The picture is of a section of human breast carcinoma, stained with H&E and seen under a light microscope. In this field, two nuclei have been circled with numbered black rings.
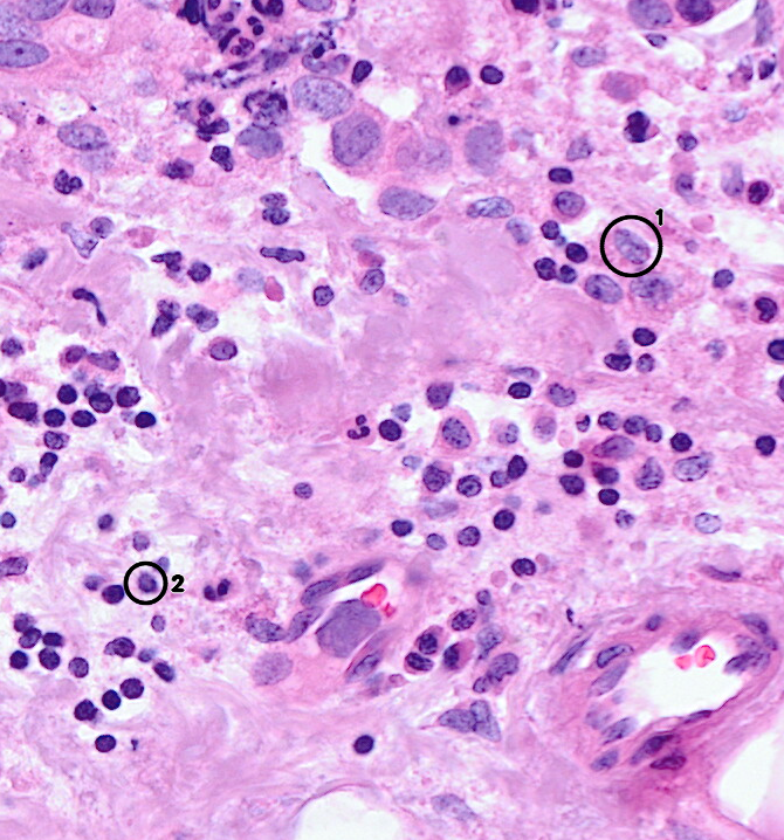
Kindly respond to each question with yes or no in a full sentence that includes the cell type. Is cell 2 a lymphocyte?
Yes, looking at number 2, that cell is a lymphocyte.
